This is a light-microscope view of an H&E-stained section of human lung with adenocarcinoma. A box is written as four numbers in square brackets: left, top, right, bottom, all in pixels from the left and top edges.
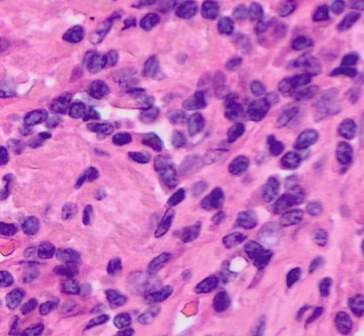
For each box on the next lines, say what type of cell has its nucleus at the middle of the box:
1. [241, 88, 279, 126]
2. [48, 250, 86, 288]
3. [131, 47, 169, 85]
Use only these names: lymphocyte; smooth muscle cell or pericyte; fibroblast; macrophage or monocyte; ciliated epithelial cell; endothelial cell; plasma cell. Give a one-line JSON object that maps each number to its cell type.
{"1": "lymphocyte", "2": "plasma cell", "3": "lymphocyte"}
